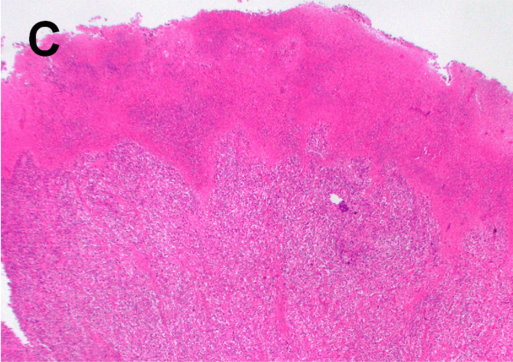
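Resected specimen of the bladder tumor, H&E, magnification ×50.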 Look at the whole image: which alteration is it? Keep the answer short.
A: Necrosis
